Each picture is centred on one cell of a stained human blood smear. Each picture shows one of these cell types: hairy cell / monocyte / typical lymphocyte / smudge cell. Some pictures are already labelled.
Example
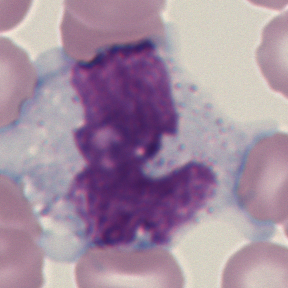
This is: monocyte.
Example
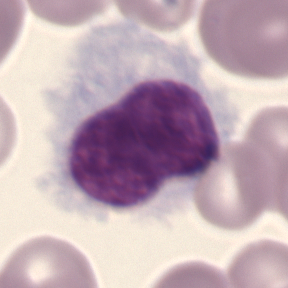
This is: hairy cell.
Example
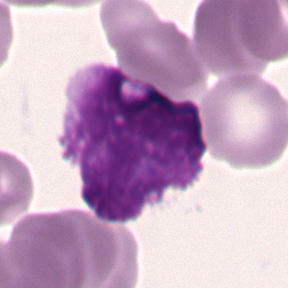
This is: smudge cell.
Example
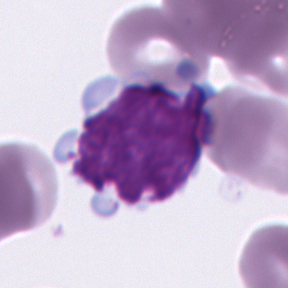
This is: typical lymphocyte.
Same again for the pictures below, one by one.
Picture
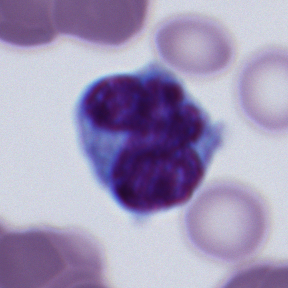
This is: monocyte.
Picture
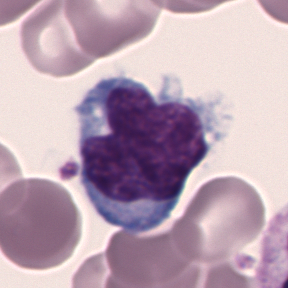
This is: monocyte.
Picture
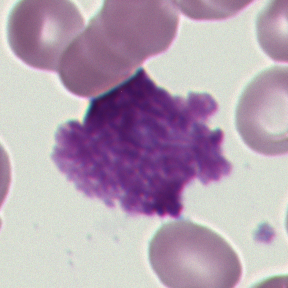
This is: smudge cell.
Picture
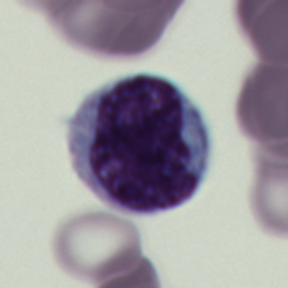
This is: monocyte.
